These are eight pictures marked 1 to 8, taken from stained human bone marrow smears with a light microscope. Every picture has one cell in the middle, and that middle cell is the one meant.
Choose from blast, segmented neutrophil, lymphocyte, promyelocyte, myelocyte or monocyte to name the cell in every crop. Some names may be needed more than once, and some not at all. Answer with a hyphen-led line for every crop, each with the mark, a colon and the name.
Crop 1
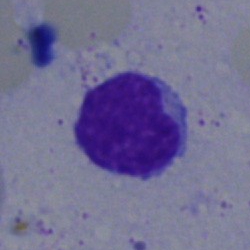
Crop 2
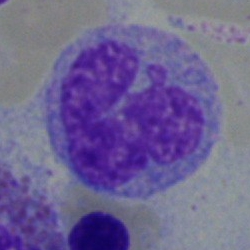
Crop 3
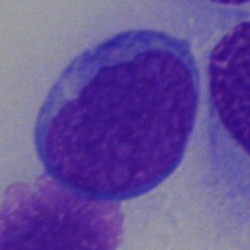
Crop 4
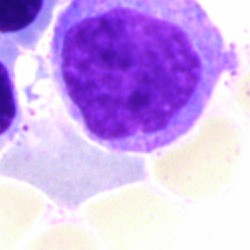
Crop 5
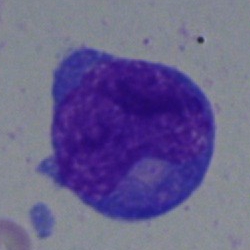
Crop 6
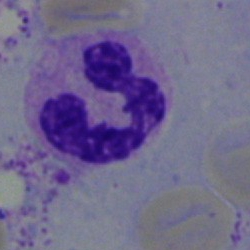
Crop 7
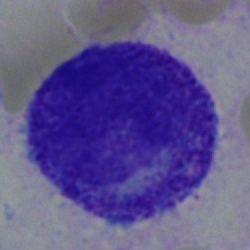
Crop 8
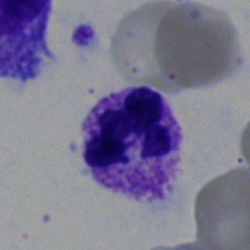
- 1: lymphocyte
- 2: monocyte
- 3: blast
- 4: monocyte
- 5: blast
- 6: segmented neutrophil
- 7: promyelocyte
- 8: segmented neutrophil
